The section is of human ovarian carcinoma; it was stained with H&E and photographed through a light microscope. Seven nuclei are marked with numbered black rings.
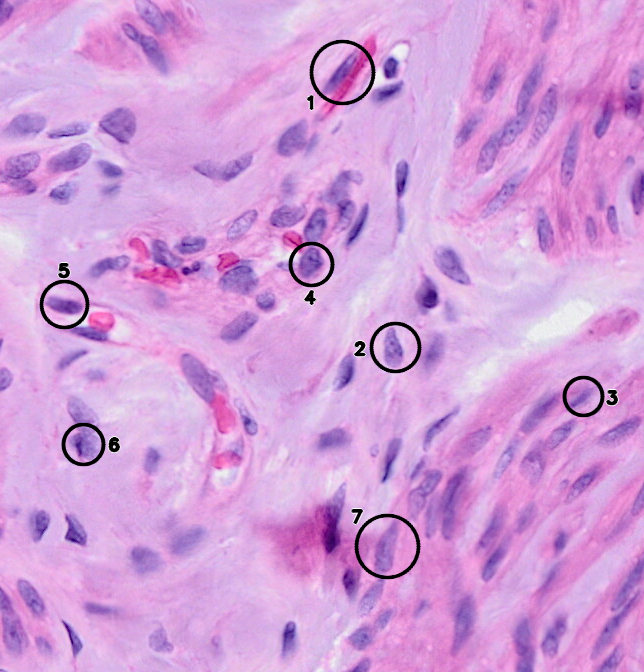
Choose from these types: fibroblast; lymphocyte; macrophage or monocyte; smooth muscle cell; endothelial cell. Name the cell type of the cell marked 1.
endothelial cell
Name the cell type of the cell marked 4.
endothelial cell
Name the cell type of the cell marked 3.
smooth muscle cell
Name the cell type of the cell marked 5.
endothelial cell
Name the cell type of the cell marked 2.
fibroblast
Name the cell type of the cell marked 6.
fibroblast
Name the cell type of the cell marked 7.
smooth muscle cell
